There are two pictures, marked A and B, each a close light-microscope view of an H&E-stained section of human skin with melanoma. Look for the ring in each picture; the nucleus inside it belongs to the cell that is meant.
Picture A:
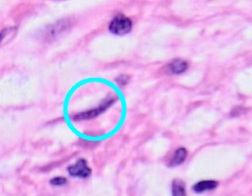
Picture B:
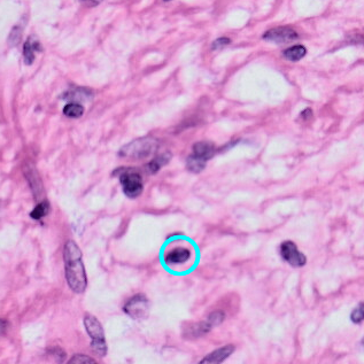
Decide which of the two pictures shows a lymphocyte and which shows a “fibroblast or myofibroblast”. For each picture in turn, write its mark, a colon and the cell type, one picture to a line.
A: fibroblast or myofibroblast
B: lymphocyte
